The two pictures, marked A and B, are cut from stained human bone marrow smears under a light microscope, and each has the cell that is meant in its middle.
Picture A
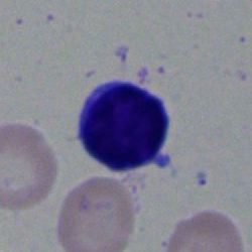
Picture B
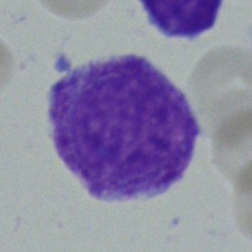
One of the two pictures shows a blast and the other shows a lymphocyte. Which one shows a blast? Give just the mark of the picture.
B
